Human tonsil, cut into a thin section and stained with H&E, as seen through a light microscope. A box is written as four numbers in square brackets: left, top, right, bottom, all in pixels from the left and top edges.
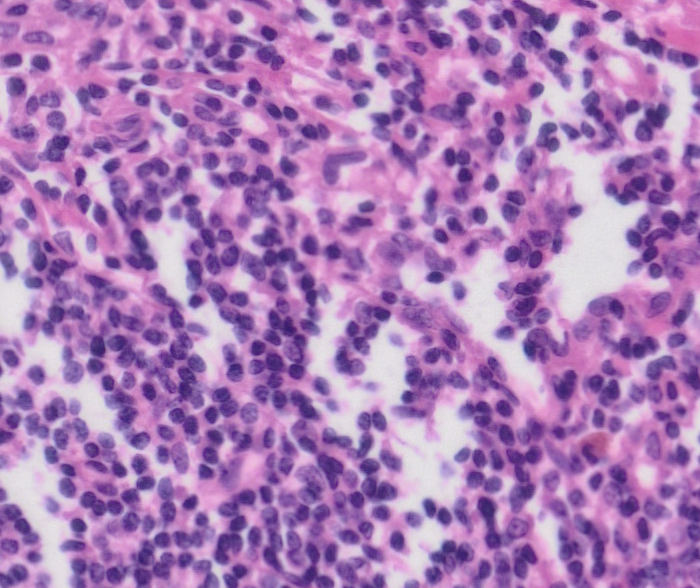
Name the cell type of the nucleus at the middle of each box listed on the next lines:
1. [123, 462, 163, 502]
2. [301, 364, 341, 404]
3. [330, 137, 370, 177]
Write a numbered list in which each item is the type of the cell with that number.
1. small lymphocyte
2. small lymphocyte
3. endothelial cell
